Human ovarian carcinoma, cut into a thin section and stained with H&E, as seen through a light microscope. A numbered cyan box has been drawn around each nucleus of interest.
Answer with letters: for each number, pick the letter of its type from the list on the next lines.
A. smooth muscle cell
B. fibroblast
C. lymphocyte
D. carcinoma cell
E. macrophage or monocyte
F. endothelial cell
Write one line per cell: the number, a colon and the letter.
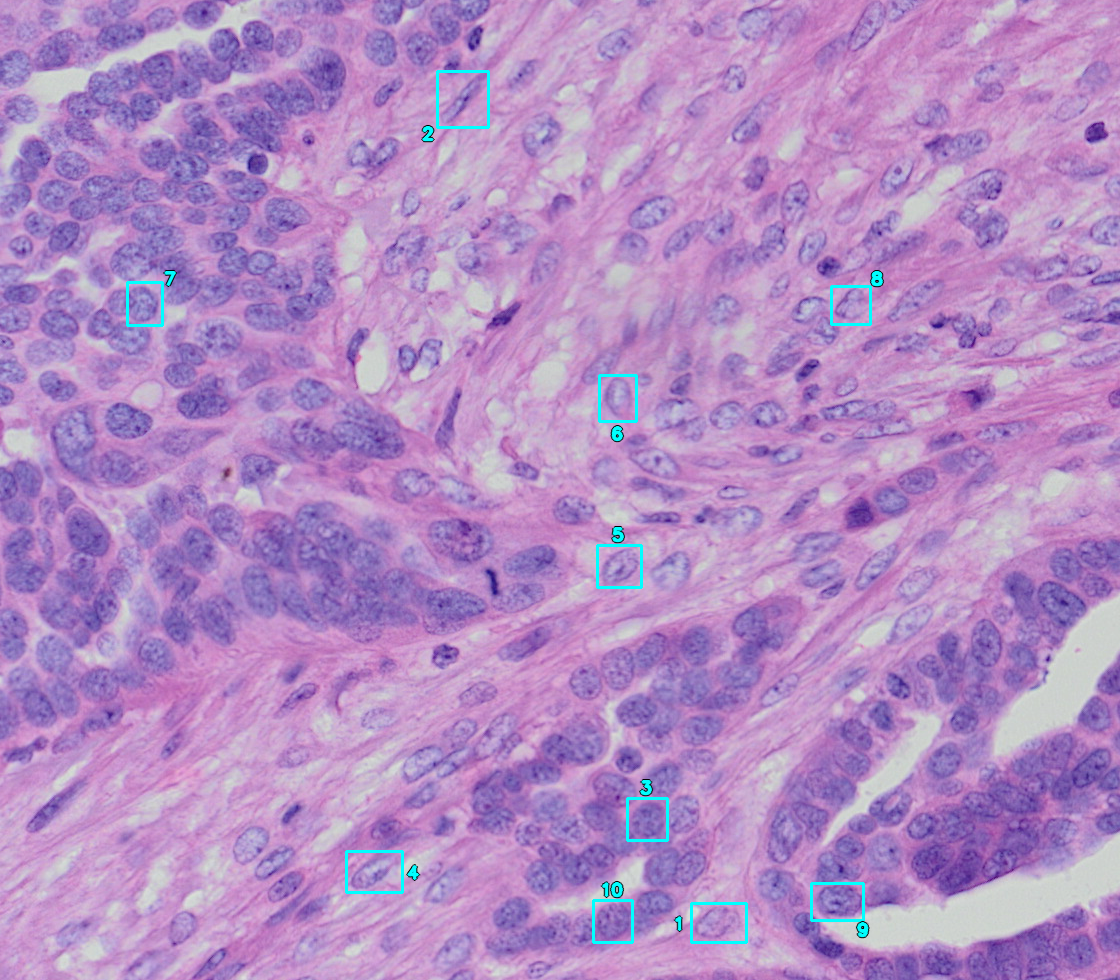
1: B
2: B
3: D
4: B
5: B
6: B
7: D
8: B
9: D
10: D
